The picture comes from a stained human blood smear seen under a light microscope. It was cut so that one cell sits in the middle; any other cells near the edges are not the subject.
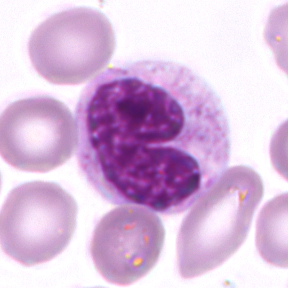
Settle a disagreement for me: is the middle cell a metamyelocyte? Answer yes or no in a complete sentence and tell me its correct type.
No, the label for the central cell is a band neutrophil, not a metamyelocyte.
